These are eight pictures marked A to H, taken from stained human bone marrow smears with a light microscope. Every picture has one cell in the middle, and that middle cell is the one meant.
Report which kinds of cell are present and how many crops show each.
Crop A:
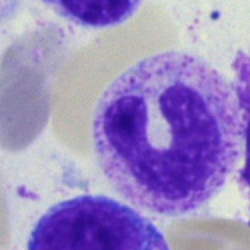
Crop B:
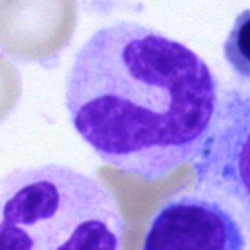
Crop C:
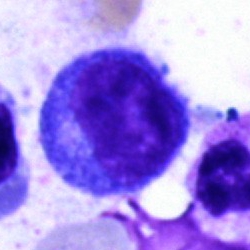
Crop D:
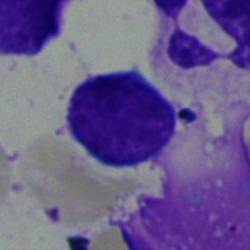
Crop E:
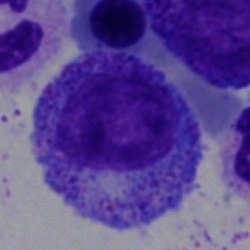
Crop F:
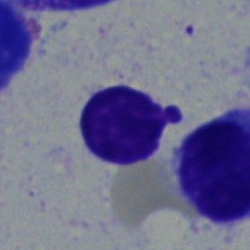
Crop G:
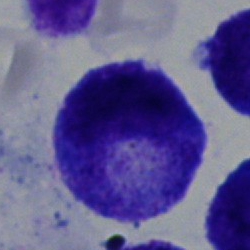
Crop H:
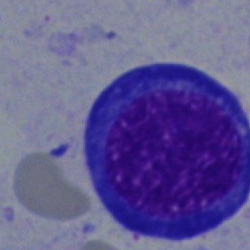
promyelocyte: 3
band neutrophil: 2
lymphocyte: 2
proerythroblast: 1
